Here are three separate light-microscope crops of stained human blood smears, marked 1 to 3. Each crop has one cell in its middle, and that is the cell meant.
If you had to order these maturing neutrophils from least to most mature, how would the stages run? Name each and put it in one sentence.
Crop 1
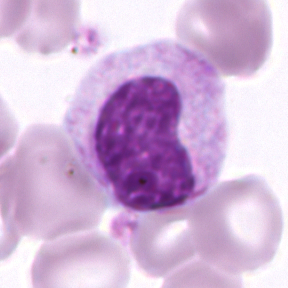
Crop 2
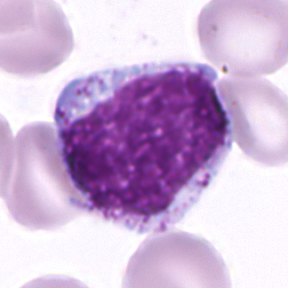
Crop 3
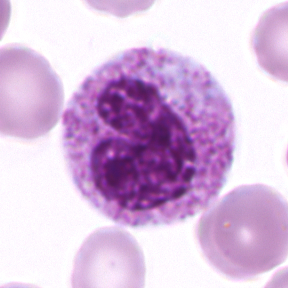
Least mature to most mature, the lineup is crop 2 (a myelocyte), crop 1 (a metamyelocyte) and crop 3 (a band neutrophil).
